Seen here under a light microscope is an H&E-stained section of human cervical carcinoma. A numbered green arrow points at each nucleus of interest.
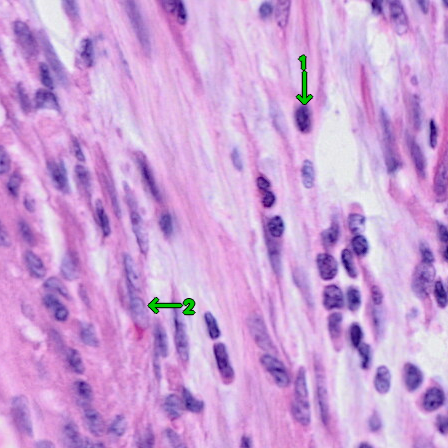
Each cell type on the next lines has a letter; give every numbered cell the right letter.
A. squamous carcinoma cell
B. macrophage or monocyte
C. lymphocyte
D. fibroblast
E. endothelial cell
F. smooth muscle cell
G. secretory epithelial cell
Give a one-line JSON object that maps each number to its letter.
{"1": "C", "2": "E"}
